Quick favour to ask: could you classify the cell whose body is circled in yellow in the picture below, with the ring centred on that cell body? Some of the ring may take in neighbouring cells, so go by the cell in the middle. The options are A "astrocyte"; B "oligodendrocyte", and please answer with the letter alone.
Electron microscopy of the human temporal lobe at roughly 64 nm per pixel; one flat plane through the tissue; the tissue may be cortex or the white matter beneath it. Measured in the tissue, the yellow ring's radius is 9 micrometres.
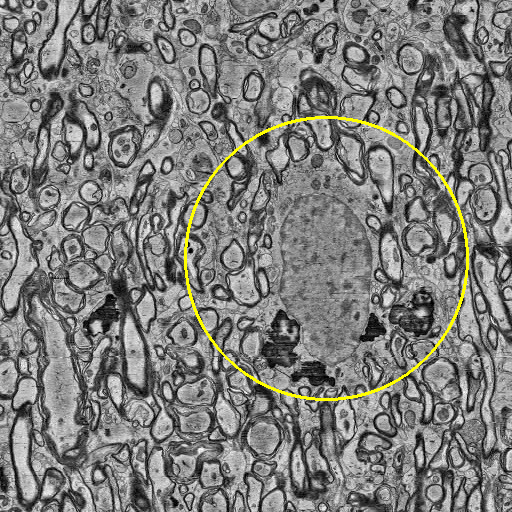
B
